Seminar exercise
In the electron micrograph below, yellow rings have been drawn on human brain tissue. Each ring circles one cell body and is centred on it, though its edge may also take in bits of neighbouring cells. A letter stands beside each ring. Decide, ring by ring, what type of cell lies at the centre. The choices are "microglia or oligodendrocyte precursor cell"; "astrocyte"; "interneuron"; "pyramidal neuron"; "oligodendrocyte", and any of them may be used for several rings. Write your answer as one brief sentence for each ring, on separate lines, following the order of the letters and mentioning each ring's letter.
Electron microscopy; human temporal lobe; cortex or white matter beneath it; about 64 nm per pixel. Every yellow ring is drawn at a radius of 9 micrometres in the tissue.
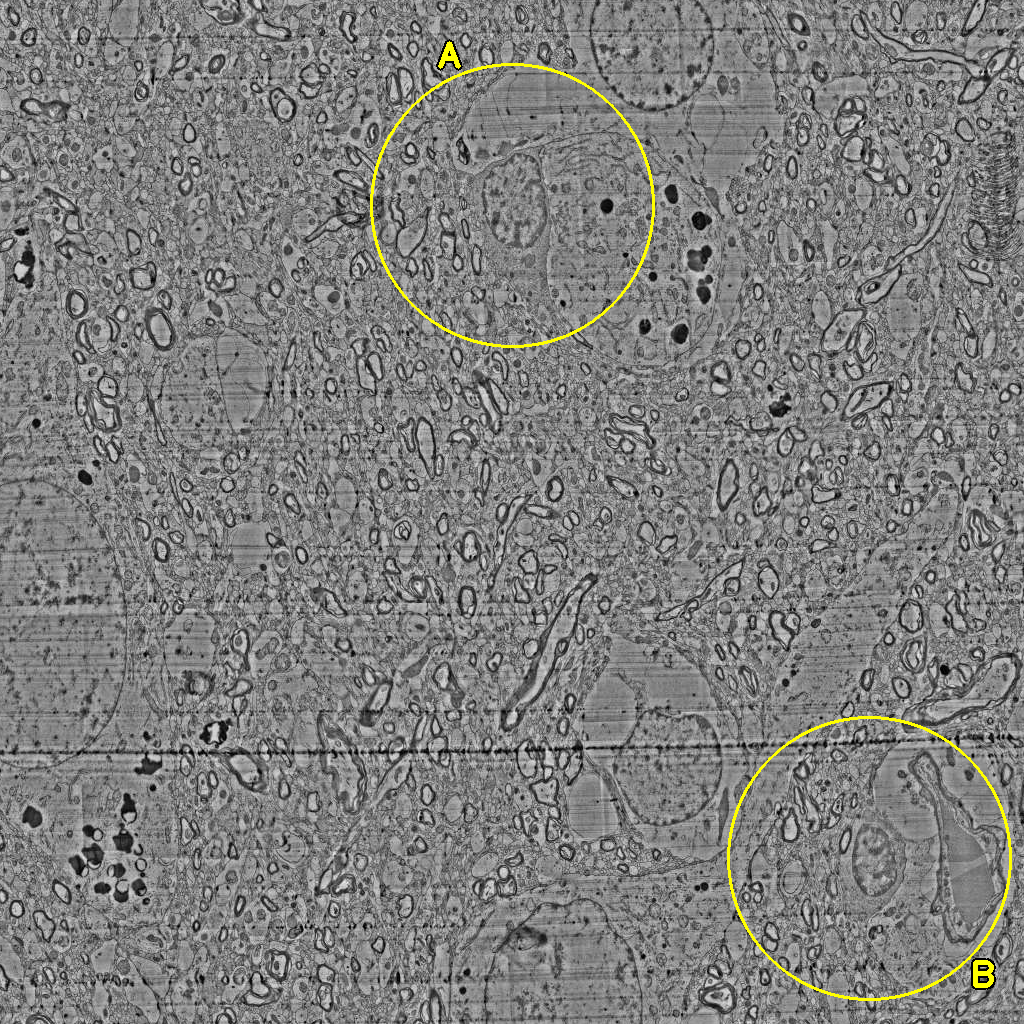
The cell in the middle of ring A is an oligodendrocyte.
The cell in the middle of ring B is an oligodendrocyte.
